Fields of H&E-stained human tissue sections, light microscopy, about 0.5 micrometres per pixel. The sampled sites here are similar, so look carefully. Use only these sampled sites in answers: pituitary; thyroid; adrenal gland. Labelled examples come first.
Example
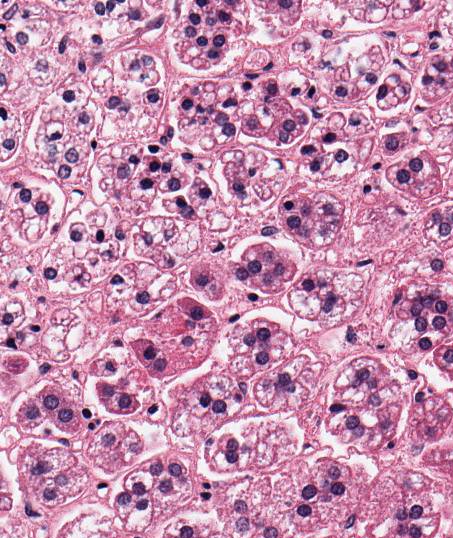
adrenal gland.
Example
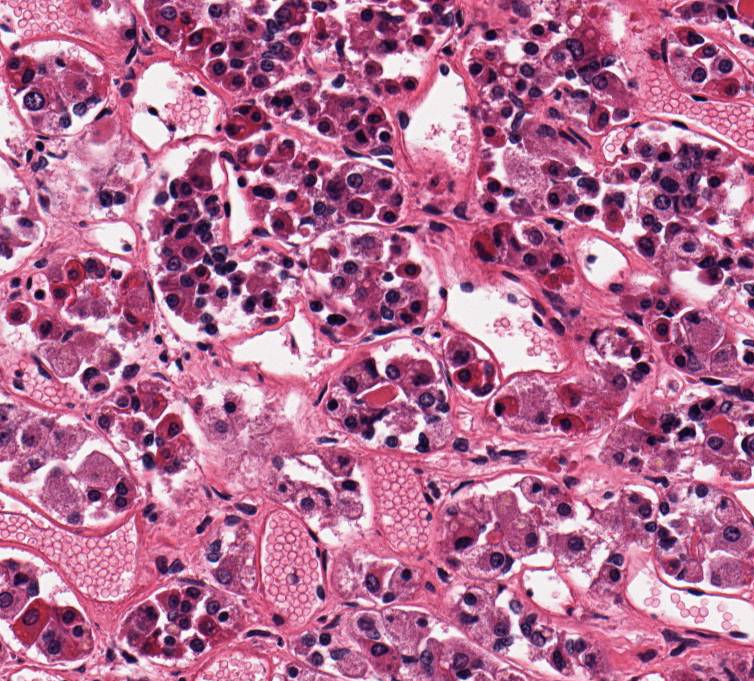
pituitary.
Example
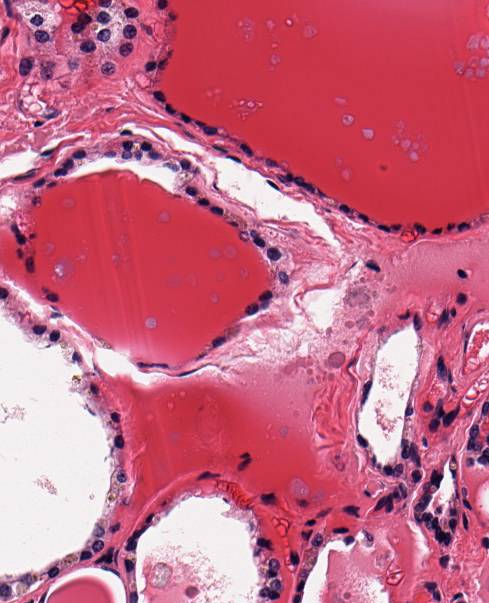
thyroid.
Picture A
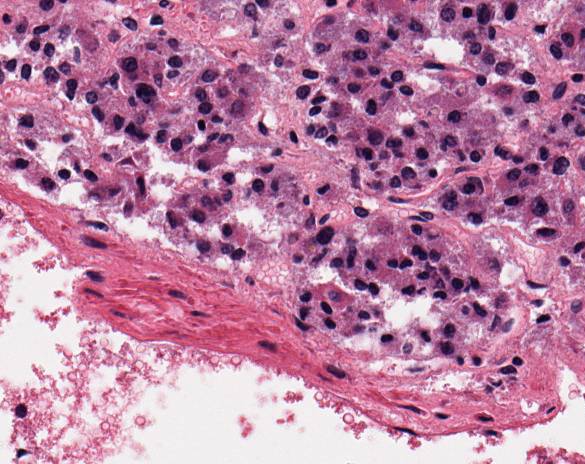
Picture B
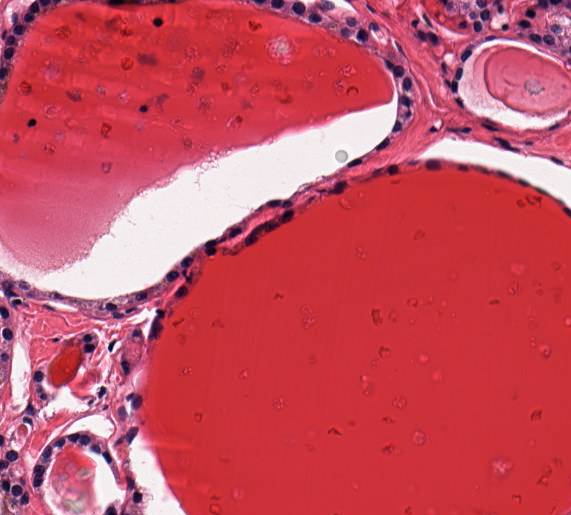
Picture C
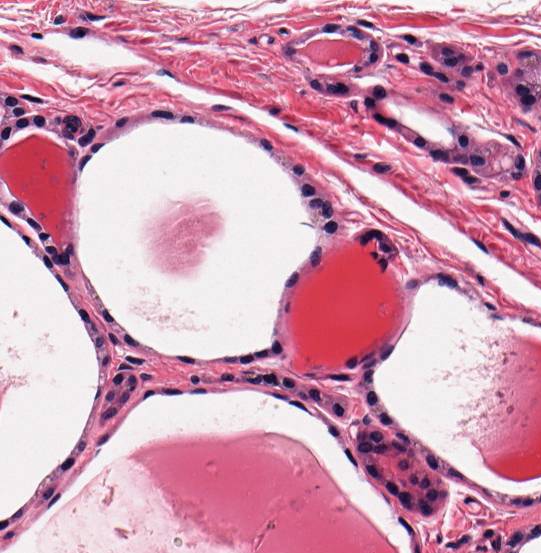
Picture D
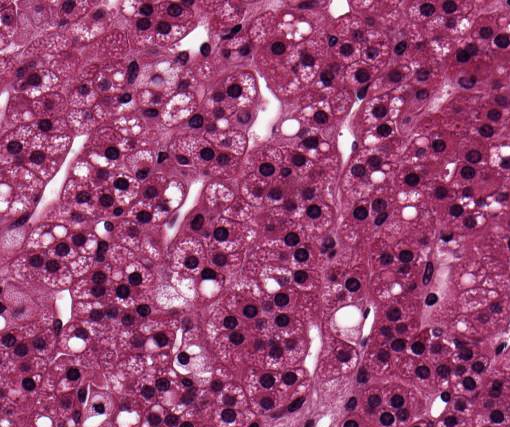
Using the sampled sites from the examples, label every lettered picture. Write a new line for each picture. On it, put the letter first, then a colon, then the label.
A: adrenal gland.
B: thyroid.
C: thyroid.
D: adrenal gland.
